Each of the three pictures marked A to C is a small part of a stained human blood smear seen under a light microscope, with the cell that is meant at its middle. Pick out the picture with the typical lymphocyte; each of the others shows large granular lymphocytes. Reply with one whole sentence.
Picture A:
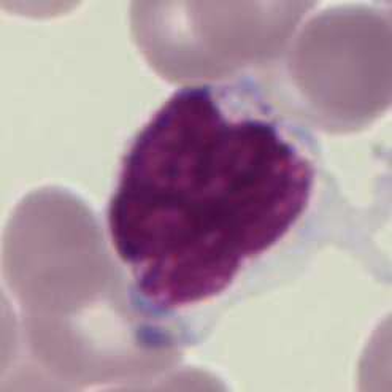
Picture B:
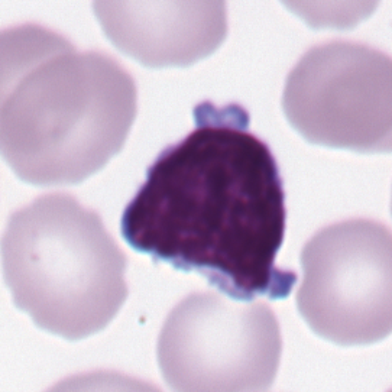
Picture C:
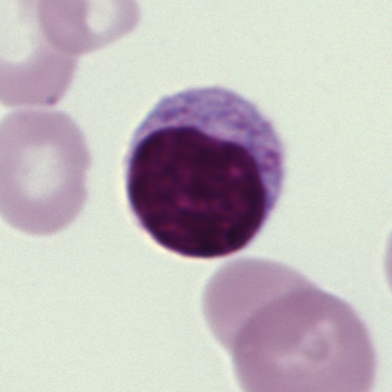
The picture with the typical lymphocyte is B.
